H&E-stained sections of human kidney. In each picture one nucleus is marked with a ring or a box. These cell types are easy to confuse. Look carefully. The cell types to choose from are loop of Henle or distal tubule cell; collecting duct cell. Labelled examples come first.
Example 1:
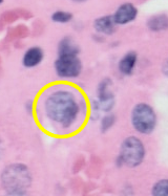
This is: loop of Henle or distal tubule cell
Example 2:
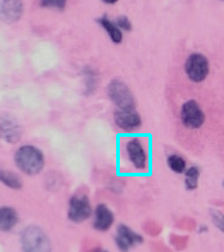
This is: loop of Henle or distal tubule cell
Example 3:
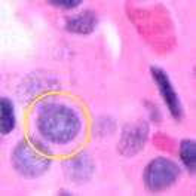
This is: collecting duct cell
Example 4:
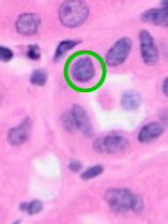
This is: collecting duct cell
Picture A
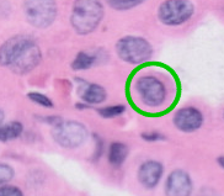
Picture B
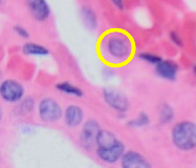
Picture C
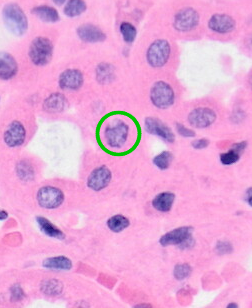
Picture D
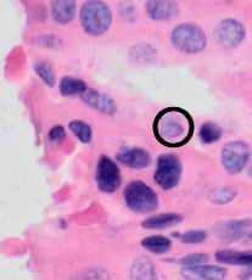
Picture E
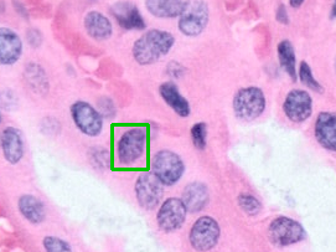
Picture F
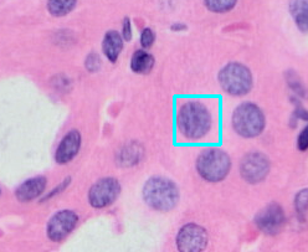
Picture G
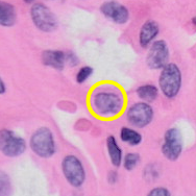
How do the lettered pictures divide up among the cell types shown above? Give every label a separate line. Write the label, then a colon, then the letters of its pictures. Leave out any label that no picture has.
loop of Henle or distal tubule cell: A, B, C, F
collecting duct cell: D, E, G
